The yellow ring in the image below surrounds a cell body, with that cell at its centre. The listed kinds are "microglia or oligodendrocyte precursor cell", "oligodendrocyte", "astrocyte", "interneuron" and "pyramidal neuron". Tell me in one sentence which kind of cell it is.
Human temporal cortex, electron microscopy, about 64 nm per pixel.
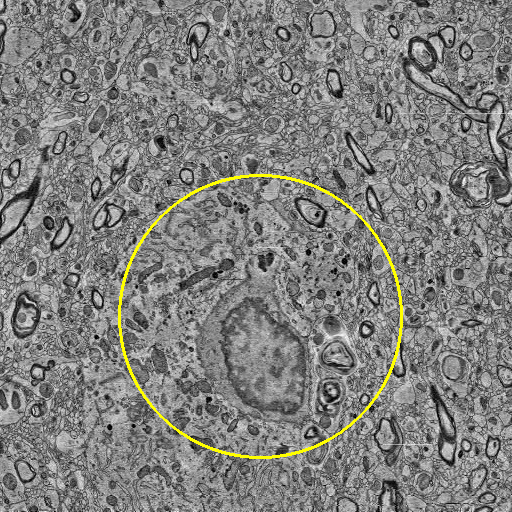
The centre of the ring holds a microglial cell or oligodendrocyte precursor cell.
